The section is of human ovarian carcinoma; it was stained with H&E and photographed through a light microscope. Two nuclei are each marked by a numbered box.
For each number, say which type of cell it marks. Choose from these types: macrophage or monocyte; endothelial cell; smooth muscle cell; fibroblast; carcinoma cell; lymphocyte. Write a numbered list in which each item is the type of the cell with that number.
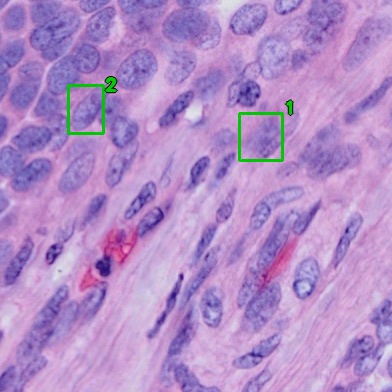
1. fibroblast
2. carcinoma cell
